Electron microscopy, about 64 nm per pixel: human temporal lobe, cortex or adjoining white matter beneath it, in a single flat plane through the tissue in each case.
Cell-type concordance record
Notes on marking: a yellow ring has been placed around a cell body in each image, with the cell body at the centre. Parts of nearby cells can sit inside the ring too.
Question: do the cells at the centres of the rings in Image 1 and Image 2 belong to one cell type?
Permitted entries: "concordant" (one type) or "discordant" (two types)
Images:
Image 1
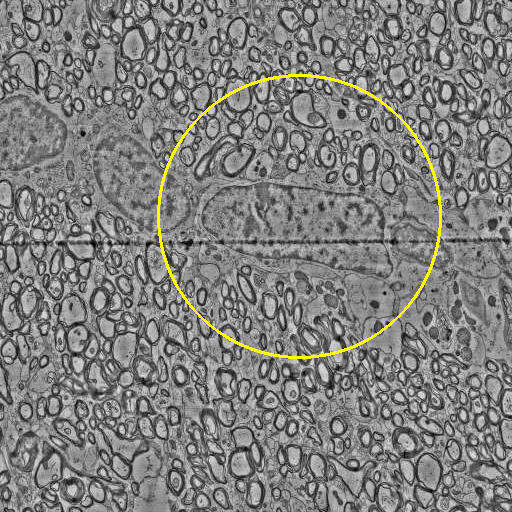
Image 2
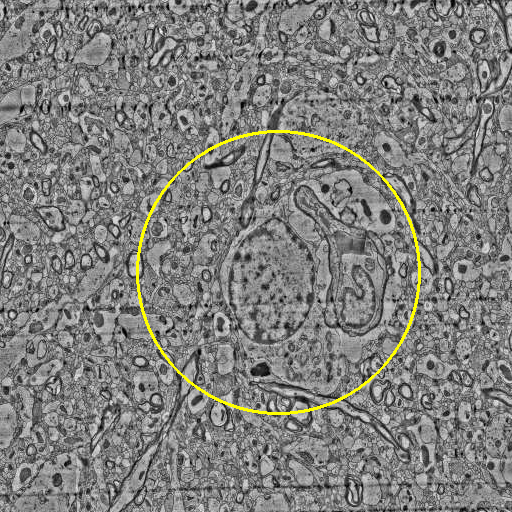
concordant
